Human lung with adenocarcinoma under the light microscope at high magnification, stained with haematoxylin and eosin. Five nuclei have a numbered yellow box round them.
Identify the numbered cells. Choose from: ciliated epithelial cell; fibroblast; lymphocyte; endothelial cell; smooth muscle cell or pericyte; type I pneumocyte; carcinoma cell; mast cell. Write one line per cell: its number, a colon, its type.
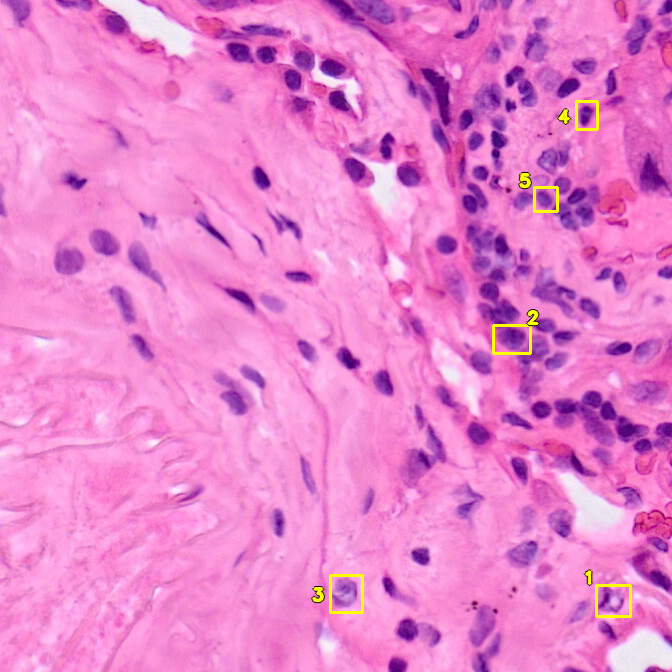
1: fibroblast
2: lymphocyte
3: fibroblast
4: lymphocyte
5: lymphocyte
